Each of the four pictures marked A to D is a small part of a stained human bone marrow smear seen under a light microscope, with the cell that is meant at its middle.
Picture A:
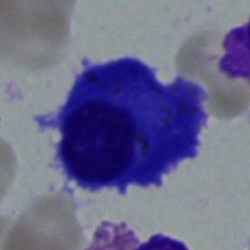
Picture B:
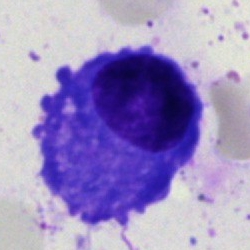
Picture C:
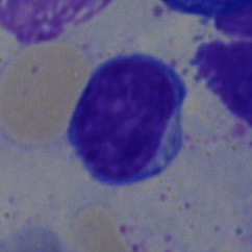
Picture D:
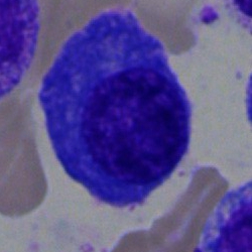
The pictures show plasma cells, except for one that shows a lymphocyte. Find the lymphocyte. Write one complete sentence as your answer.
The cell in picture C is the lymphocyte.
